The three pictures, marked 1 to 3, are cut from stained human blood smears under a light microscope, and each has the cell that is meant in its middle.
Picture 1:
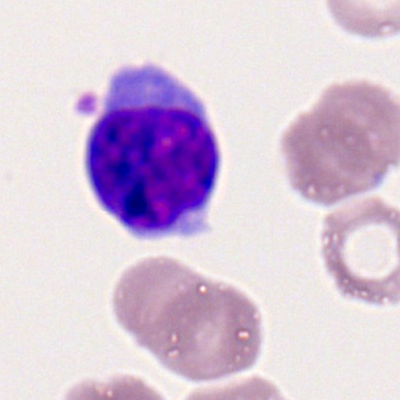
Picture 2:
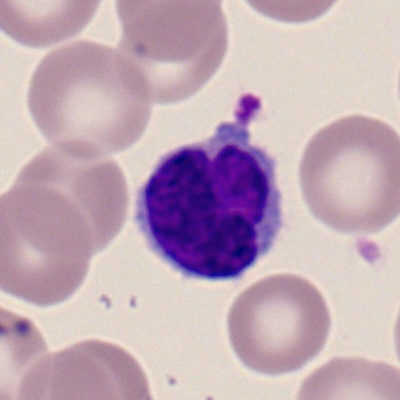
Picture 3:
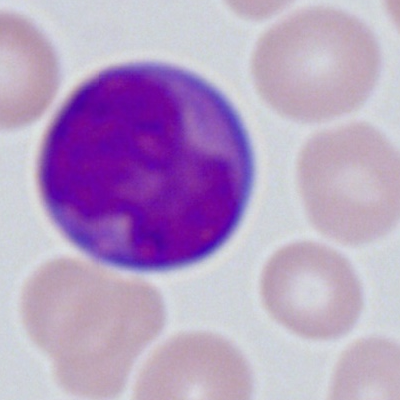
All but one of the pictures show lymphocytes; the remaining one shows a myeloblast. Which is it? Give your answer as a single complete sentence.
It is picture 3 that shows the myeloblast.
